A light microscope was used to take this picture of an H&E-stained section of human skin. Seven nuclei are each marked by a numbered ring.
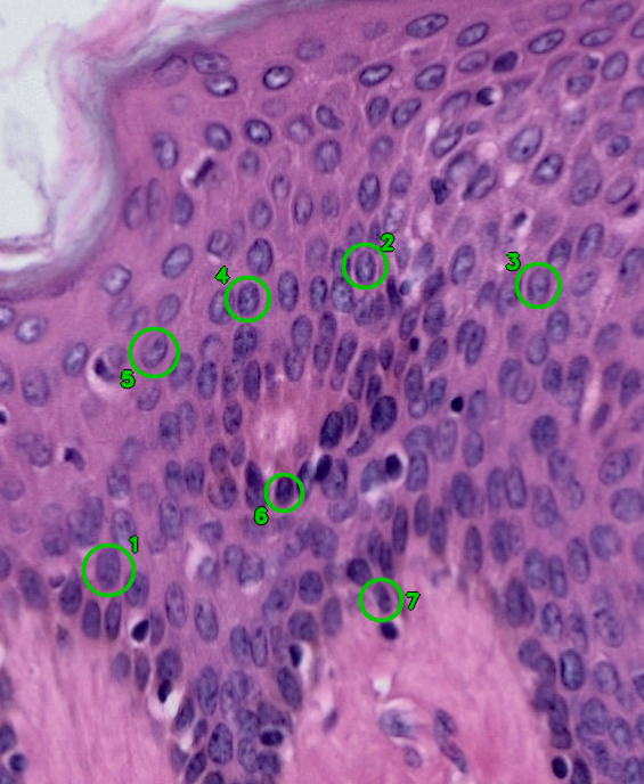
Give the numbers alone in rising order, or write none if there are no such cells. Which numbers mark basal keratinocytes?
1, 6, 7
